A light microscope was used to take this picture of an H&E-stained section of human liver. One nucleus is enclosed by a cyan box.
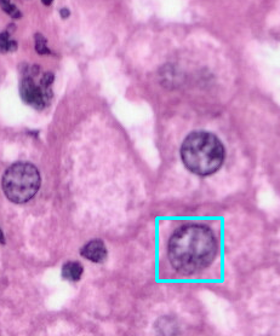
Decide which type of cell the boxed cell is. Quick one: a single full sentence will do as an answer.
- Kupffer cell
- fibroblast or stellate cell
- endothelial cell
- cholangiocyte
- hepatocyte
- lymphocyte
The cell type represented by the boxed cell is that of a hepatocyte.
